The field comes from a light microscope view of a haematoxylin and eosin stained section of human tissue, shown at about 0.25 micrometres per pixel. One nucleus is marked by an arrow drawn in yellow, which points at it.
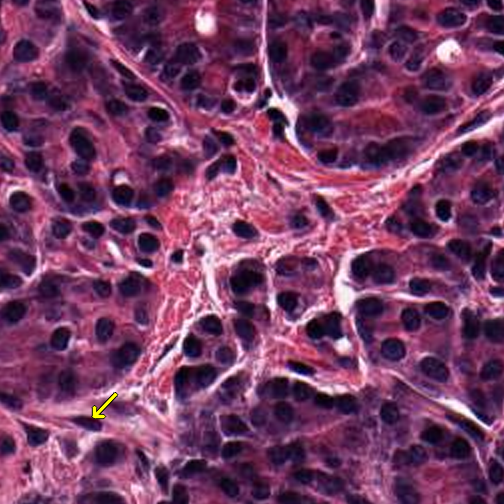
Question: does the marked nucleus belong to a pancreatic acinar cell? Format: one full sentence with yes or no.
No, the marked nucleus is located in a supporting cell and not in a pancreatic acinar cell.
